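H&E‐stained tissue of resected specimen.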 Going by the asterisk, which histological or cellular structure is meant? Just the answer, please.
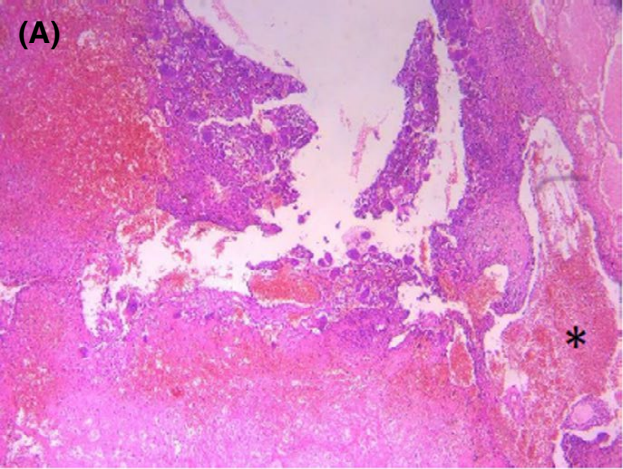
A: Blood‐filled cystic spaces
